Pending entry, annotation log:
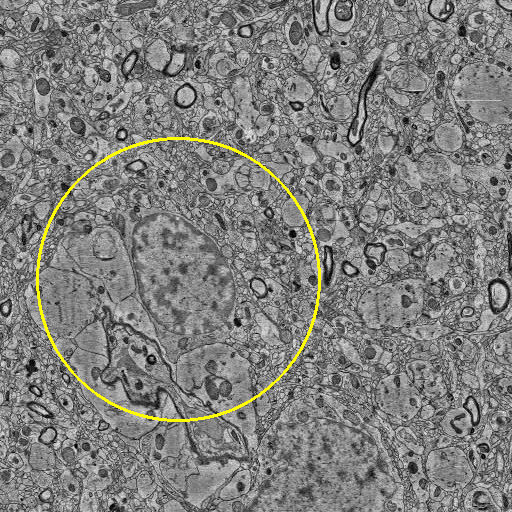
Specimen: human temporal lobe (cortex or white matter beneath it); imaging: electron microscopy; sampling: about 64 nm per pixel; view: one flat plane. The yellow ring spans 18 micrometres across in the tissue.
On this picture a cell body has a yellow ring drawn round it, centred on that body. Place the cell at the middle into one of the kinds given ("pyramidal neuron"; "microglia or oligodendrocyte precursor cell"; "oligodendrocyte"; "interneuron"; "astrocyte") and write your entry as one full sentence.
The cell body at the middle of the yellow ring belongs to an oligodendrocyte.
